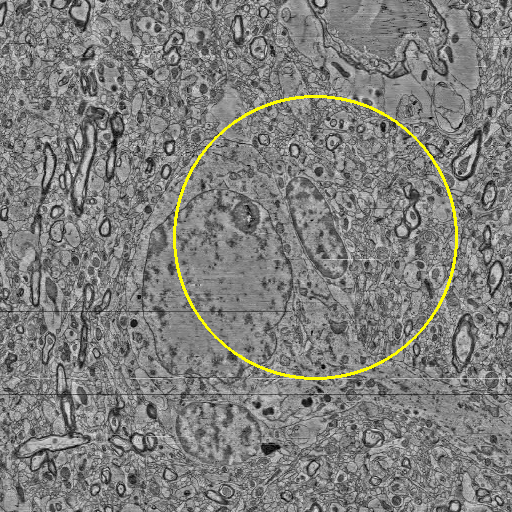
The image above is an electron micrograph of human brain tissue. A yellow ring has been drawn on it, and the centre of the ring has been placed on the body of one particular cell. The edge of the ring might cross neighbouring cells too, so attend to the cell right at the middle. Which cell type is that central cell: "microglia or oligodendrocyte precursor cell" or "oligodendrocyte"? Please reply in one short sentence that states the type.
The central cell in the ring is a microglial cell or oligodendrocyte precursor cell.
